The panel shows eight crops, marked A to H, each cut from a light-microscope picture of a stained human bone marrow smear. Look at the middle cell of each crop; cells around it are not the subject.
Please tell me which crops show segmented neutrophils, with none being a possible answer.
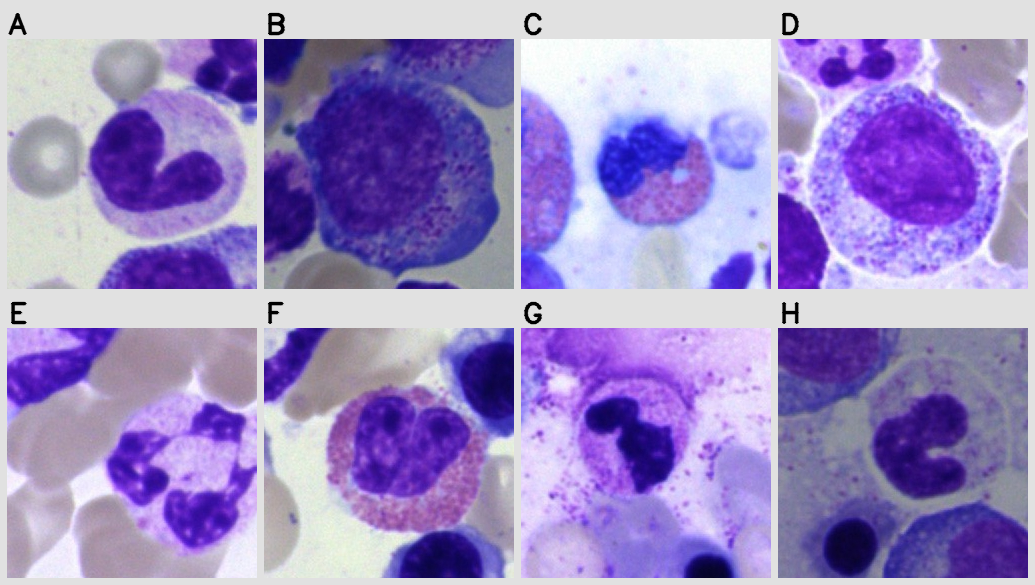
E, G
